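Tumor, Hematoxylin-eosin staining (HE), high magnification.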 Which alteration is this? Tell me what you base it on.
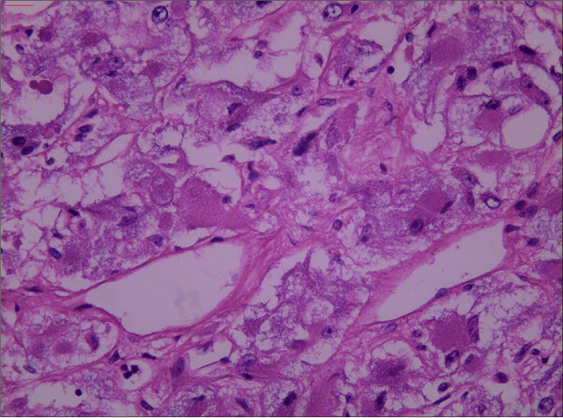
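Granular. The cytoplasm of the tumor cells is finely granular and pale purple. Cells are large with abundant cytoplasm.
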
